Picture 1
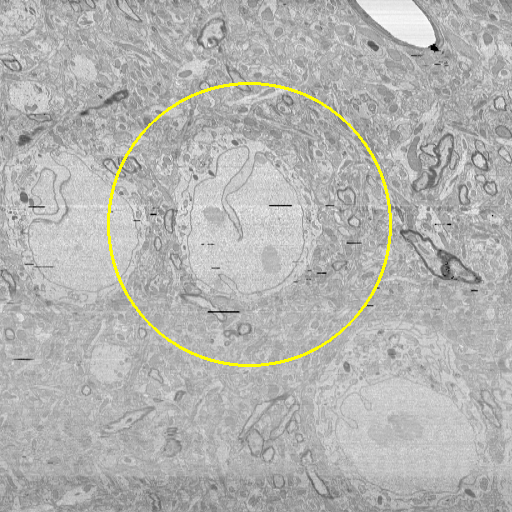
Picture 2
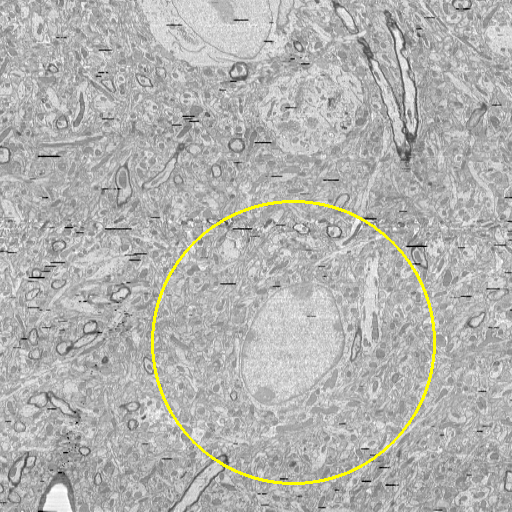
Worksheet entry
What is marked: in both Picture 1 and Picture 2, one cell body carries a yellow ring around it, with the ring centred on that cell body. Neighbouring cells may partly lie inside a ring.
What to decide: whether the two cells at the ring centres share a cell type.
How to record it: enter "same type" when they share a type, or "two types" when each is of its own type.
two types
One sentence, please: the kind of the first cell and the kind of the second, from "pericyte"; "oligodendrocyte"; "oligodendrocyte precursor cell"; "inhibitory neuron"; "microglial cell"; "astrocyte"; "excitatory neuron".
The ring in the first picture surrounds an excitatory neuron, and the ring in the second surrounds an astrocyte.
